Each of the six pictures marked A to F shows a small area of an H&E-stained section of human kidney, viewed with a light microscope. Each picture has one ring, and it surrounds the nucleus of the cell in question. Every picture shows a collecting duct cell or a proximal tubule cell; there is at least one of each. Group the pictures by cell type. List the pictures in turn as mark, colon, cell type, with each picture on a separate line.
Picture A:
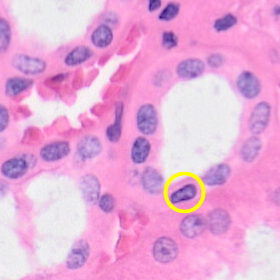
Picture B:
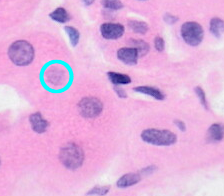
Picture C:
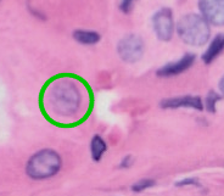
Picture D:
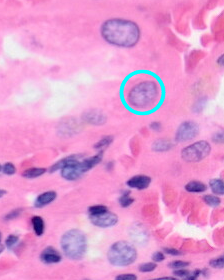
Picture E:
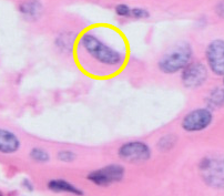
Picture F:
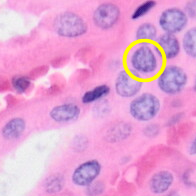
A: collecting duct cell
B: proximal tubule cell
C: proximal tubule cell
D: proximal tubule cell
E: collecting duct cell
F: collecting duct cell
